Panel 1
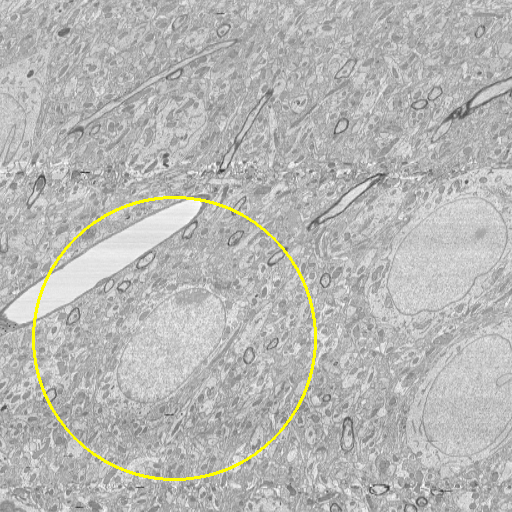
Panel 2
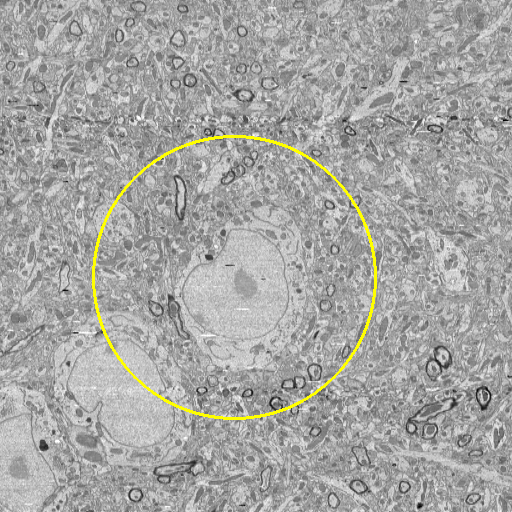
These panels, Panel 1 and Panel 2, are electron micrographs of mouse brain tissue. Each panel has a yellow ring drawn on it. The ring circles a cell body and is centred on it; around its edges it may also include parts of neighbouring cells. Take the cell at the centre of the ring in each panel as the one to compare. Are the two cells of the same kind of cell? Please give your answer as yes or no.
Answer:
no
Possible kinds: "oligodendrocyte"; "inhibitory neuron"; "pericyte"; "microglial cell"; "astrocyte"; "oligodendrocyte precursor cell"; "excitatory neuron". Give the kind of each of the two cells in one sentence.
The cell in the second picture is an excitatory neuron, and that in the first is an astrocyte.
